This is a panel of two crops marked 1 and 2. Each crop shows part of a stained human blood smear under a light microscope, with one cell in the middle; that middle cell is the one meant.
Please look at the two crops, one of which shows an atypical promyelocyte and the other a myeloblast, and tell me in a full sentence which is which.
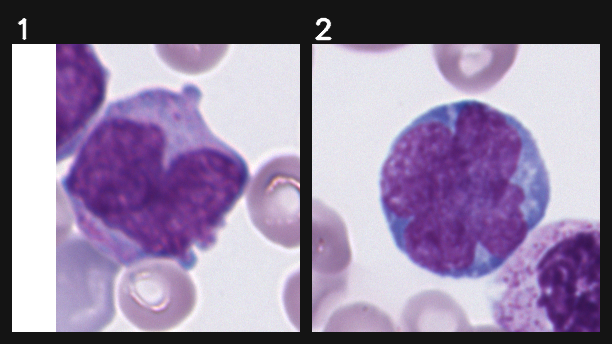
In crop 1 the cell is an atypical promyelocyte, while in crop 2 it is a myeloblast.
